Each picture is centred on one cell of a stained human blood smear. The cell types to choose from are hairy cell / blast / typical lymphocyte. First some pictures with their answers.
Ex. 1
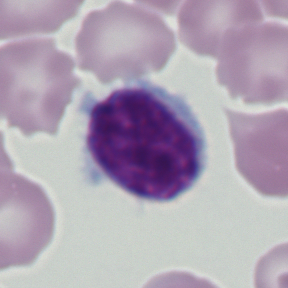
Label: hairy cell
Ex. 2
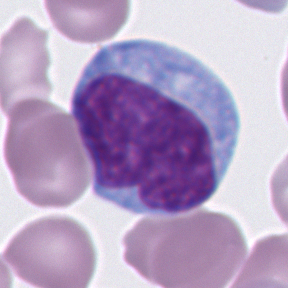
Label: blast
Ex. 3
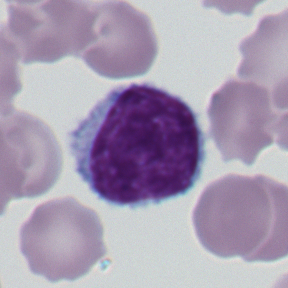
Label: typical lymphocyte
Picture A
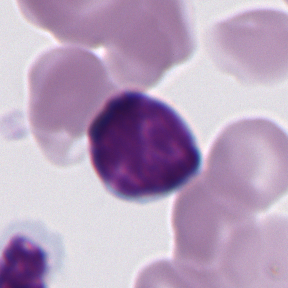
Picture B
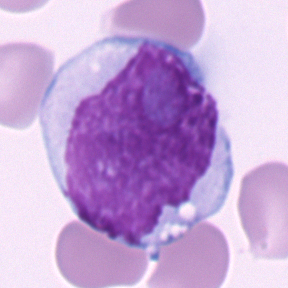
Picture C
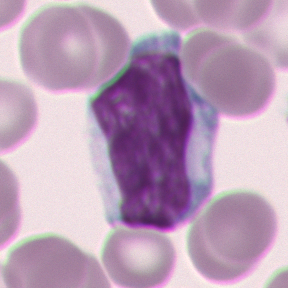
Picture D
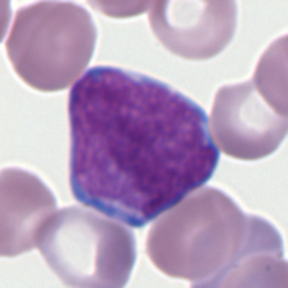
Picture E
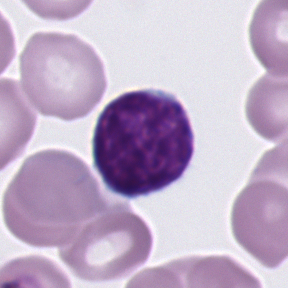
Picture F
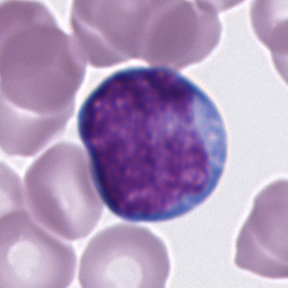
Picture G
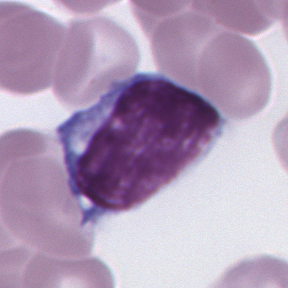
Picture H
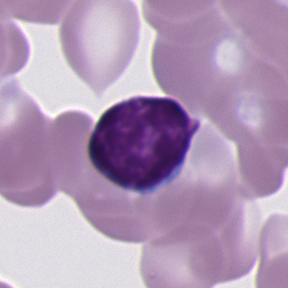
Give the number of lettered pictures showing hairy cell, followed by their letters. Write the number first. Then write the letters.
0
